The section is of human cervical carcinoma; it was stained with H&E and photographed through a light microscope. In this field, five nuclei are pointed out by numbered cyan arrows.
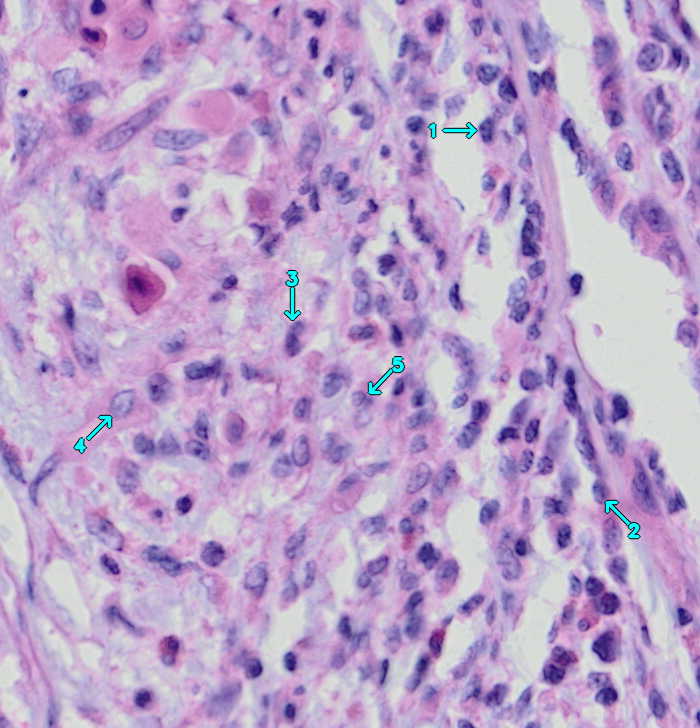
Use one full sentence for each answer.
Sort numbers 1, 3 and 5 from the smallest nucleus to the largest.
From smallest to largest, the order is 5, 1, 3.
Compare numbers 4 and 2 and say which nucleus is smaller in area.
The smaller nucleus is 2, and 4 covers roughly 1.5 times its area.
